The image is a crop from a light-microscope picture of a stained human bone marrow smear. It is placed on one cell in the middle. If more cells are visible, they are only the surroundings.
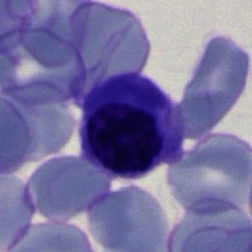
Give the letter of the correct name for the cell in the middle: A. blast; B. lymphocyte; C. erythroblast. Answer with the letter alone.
C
